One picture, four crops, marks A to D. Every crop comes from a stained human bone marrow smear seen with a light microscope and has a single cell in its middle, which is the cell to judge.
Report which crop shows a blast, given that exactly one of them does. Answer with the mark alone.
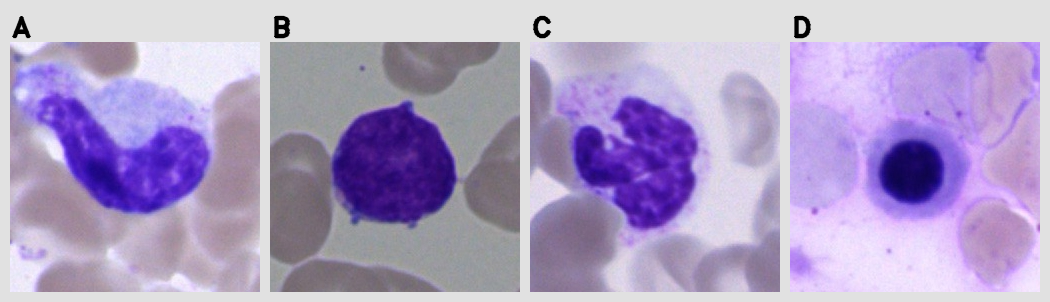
B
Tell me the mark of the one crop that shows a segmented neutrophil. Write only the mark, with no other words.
C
